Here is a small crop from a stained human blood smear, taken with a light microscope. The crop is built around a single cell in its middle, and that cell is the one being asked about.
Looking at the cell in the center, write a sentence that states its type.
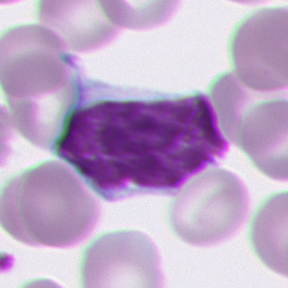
Of the cells in this crop, the central one is a lymphocyte.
